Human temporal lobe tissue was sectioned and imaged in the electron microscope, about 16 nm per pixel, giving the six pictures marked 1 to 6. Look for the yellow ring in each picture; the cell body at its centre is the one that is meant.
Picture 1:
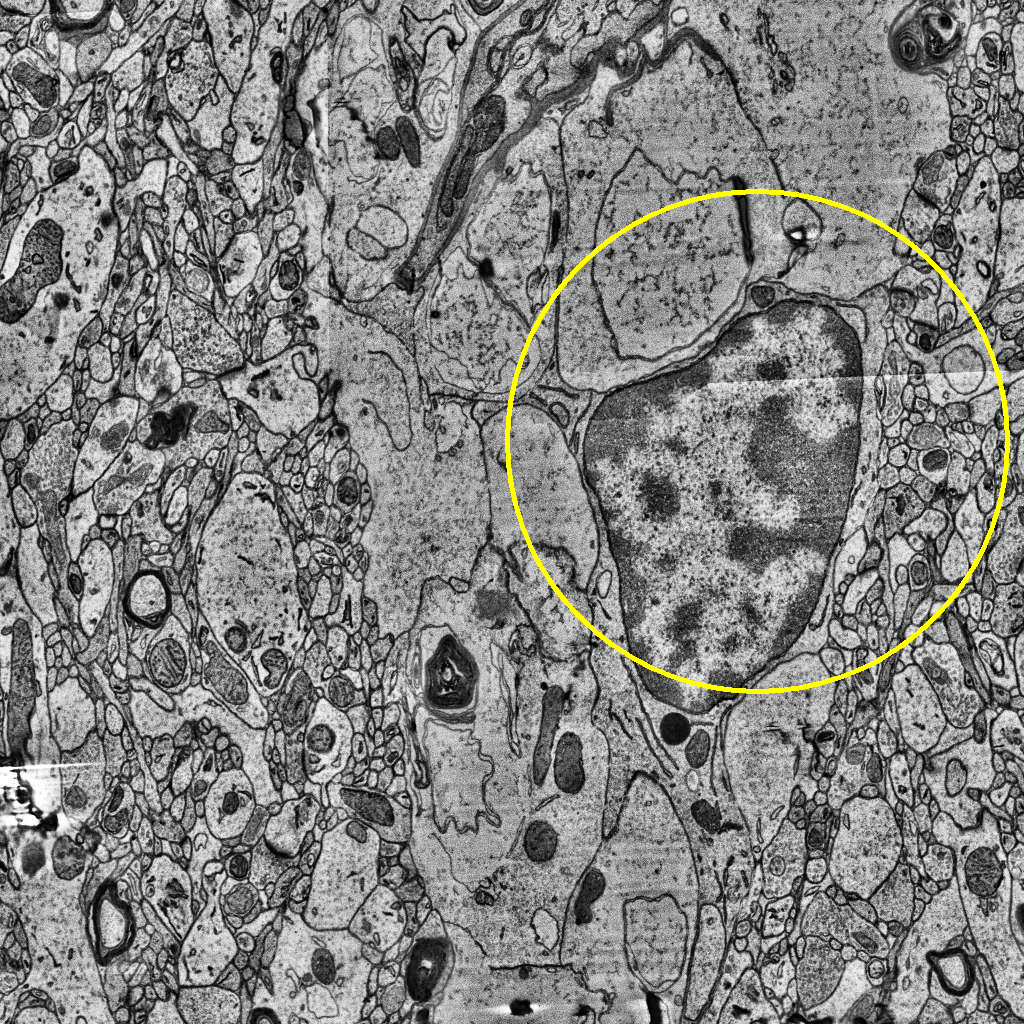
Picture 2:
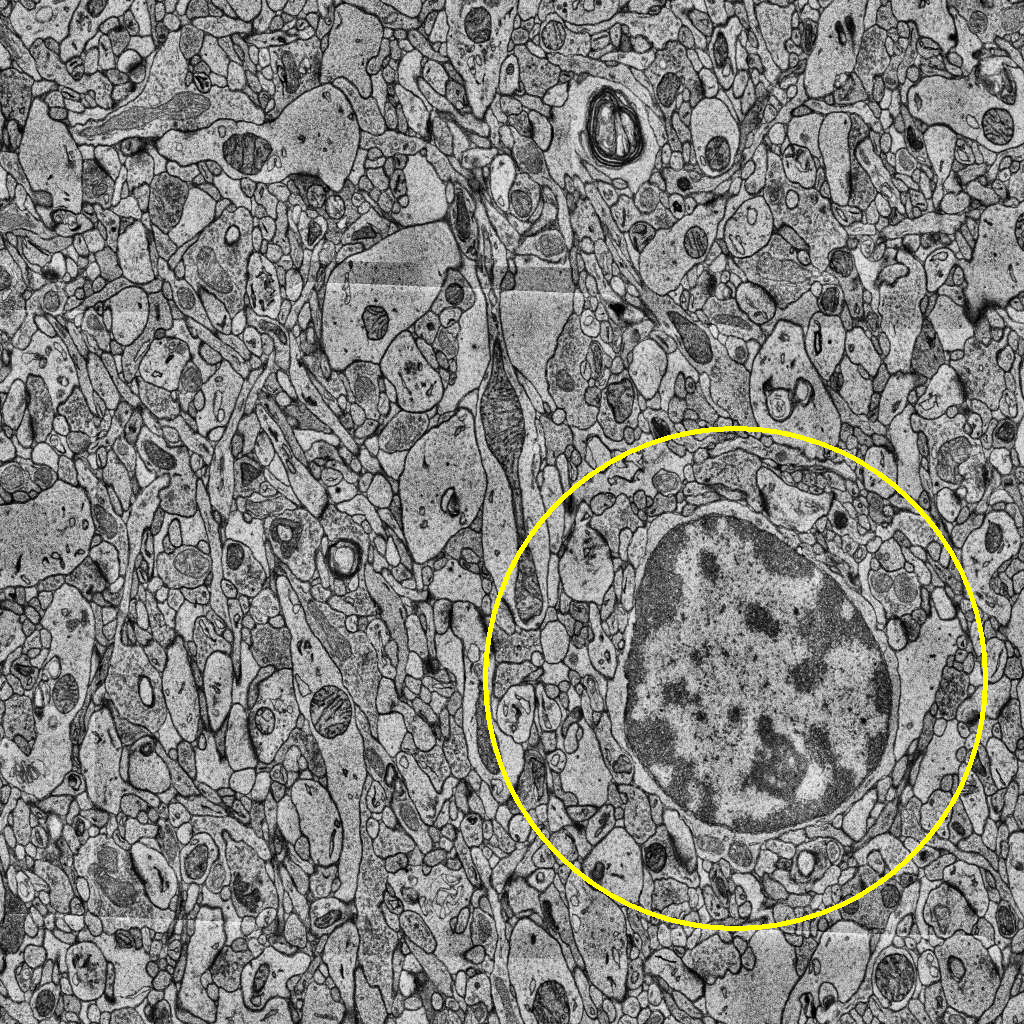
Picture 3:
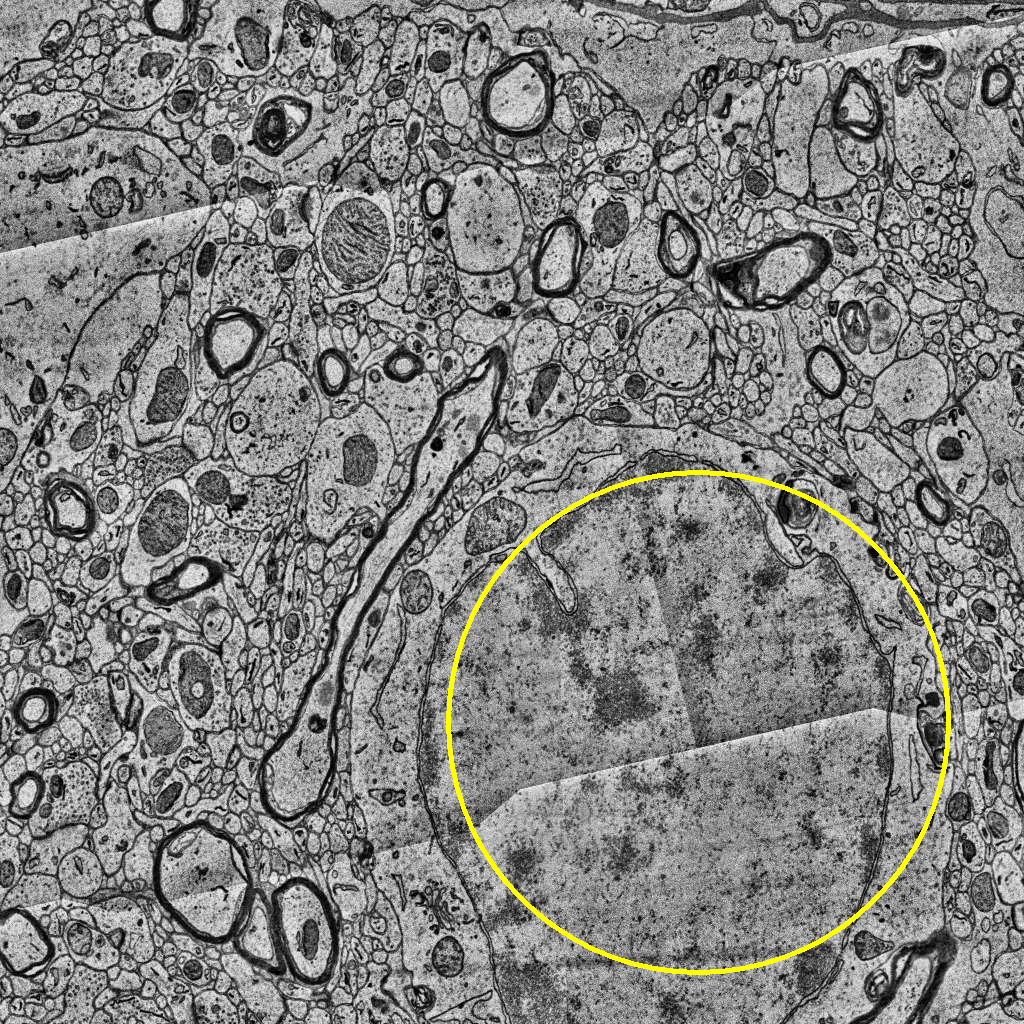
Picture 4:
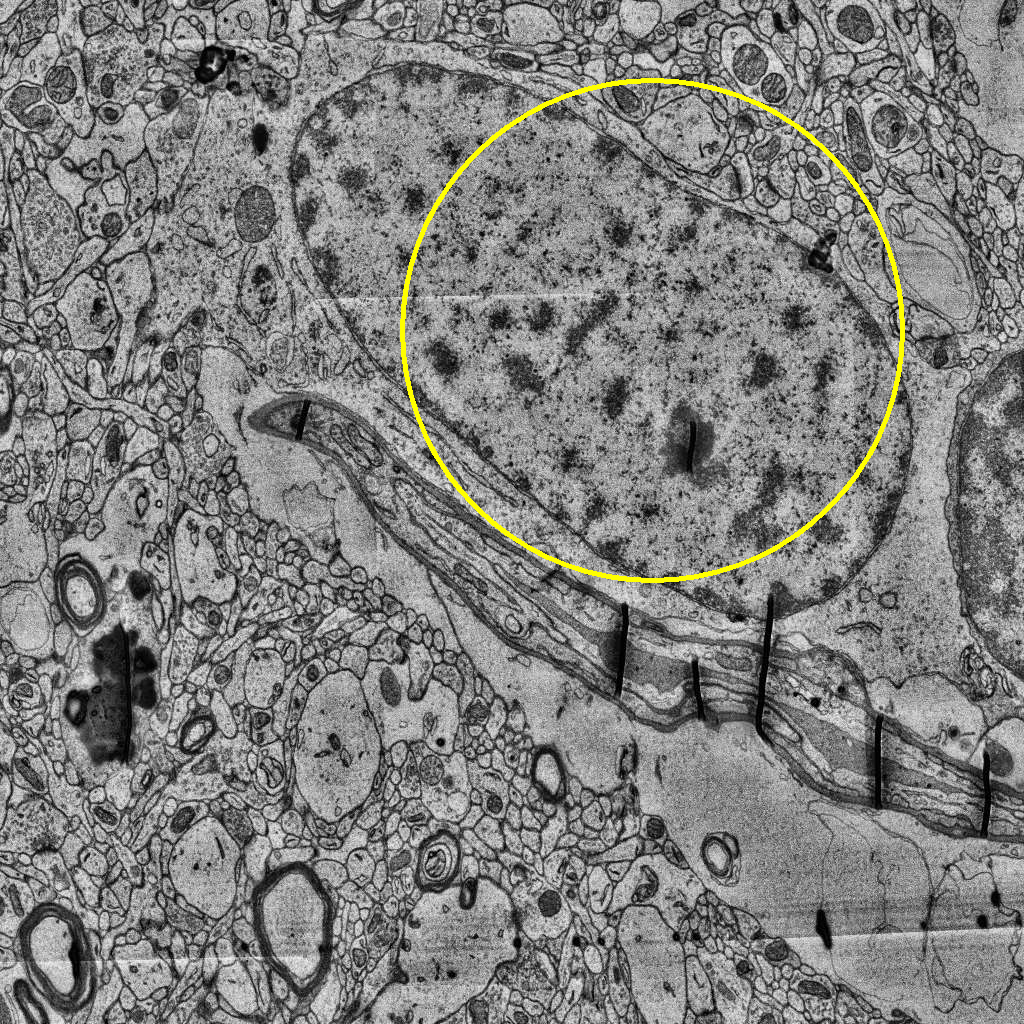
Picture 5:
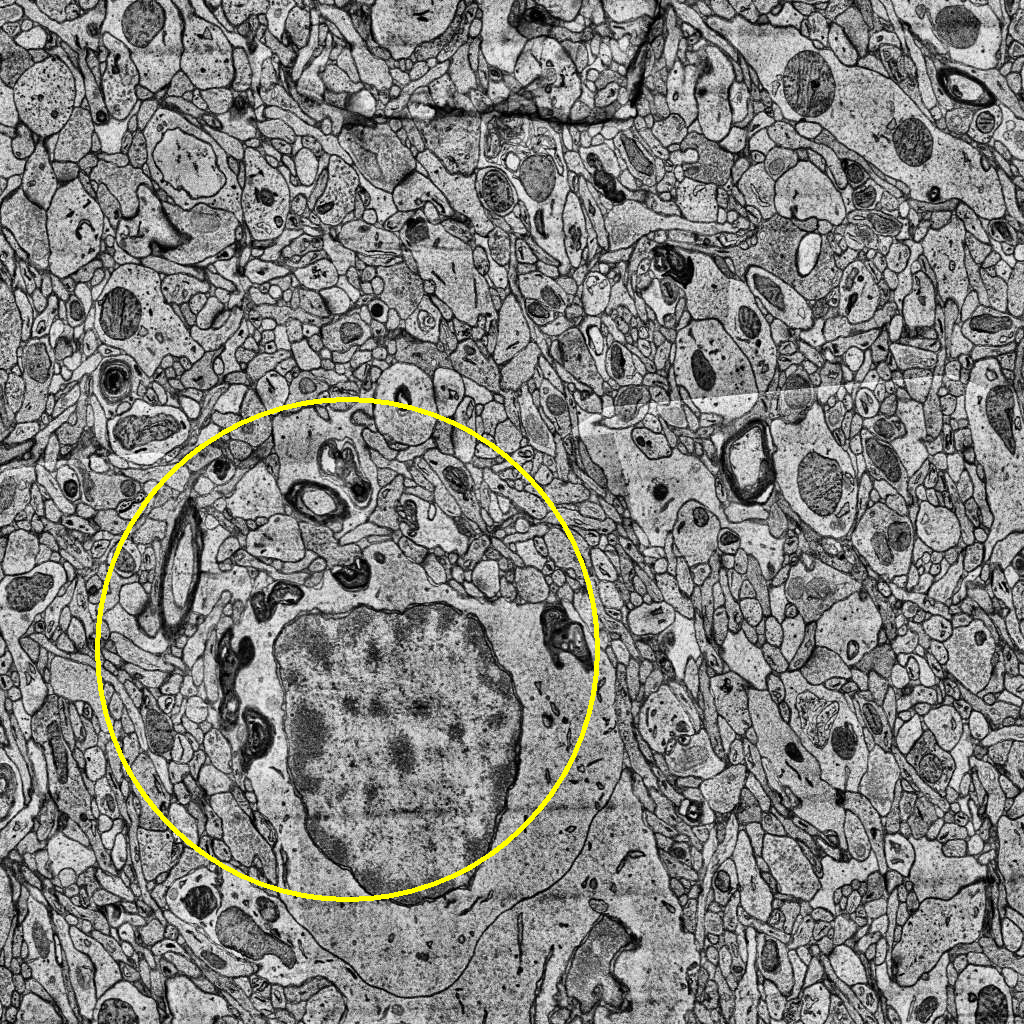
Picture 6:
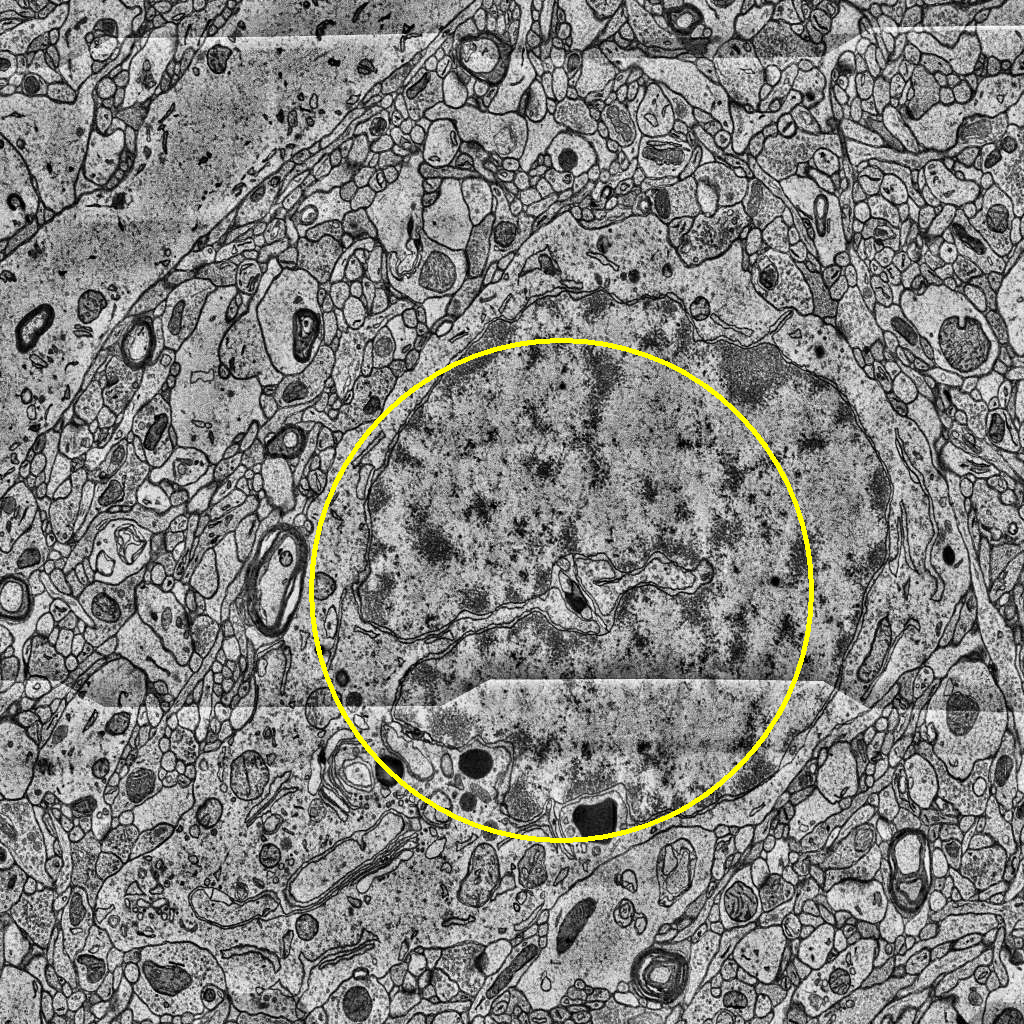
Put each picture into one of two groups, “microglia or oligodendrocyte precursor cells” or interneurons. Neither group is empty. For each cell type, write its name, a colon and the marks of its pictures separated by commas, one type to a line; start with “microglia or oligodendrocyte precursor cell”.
microglia or oligodendrocyte precursor cell: 1, 2, 4, 5
interneuron: 3, 6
